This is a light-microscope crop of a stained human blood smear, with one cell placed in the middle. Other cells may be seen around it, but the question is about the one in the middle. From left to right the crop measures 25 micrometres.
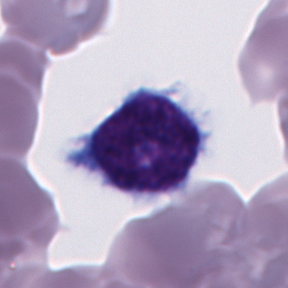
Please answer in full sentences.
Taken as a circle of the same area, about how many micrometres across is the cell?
About 10 micrometres: that is the cell's diameter.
